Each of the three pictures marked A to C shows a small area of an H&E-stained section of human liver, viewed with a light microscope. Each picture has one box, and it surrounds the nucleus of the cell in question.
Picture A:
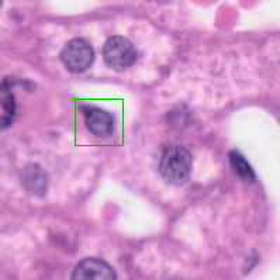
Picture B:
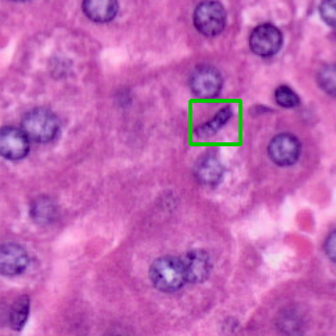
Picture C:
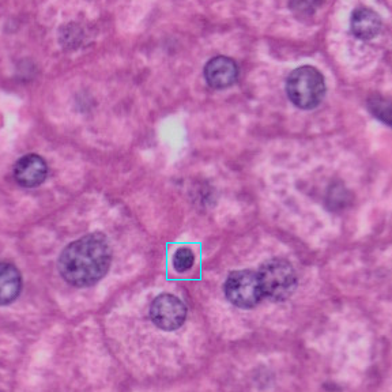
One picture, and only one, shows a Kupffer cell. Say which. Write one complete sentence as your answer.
The cell in picture A is the Kupffer cell.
